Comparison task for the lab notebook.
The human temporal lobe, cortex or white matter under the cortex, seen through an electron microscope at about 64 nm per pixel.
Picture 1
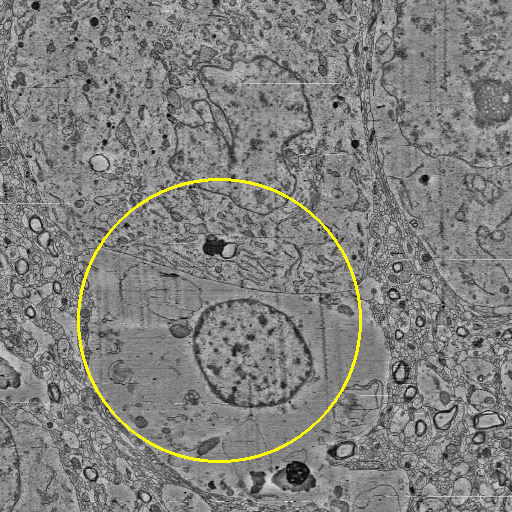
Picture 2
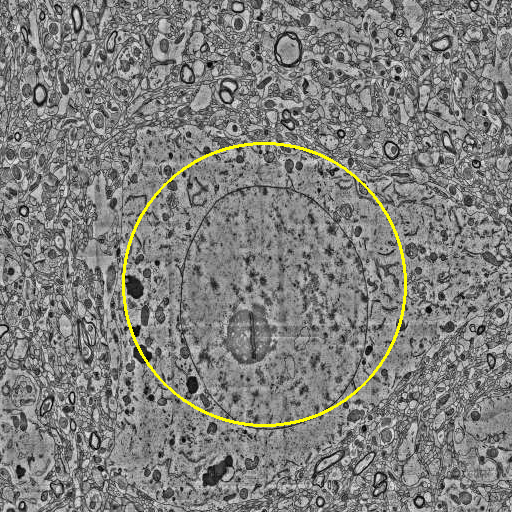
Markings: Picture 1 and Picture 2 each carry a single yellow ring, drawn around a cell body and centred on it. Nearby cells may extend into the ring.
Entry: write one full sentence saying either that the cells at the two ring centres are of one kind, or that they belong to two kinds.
The cells sitting at the ring centres in Picture 1 and Picture 2 belong to two kinds.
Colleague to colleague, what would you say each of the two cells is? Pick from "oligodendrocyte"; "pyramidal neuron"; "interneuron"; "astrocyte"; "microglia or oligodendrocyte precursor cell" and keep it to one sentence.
The cell in the first picture is an astrocyte; the second picture's cell is a pyramidal neuron.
